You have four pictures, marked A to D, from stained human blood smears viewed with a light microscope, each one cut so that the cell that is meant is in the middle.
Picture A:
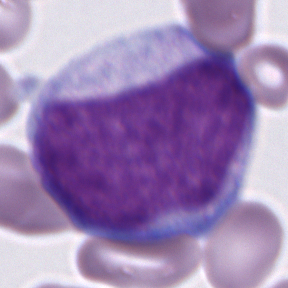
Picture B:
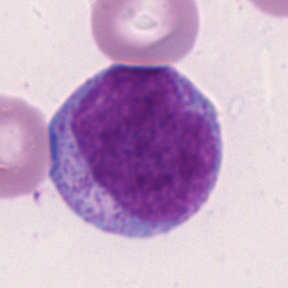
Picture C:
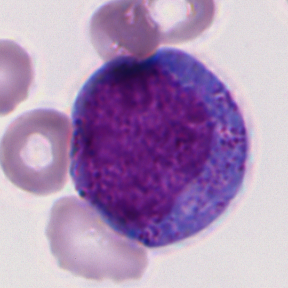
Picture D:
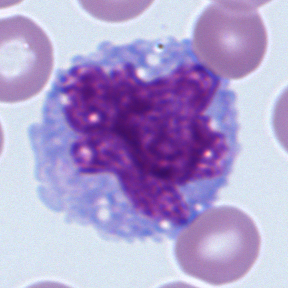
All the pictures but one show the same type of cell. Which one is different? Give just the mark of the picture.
D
